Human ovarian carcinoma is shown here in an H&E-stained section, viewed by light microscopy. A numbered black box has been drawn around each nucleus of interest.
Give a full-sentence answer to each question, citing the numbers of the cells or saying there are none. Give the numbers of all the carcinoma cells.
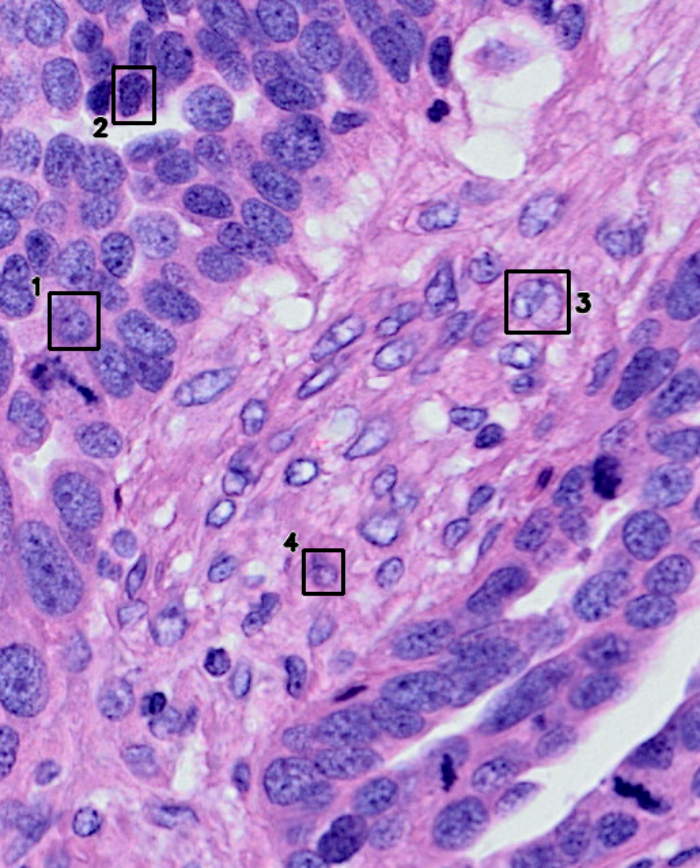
The cells tagged 1 and 2 are carcinoma cells in this tissue section.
